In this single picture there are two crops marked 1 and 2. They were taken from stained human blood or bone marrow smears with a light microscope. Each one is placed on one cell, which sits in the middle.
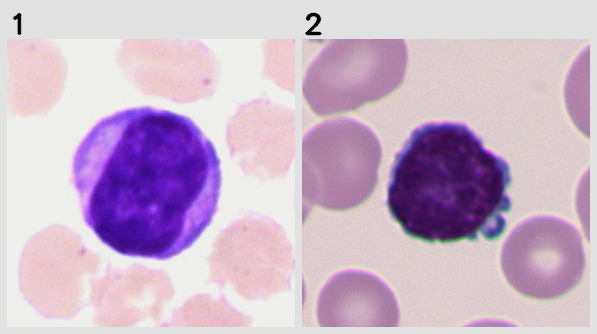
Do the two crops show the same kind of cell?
yes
